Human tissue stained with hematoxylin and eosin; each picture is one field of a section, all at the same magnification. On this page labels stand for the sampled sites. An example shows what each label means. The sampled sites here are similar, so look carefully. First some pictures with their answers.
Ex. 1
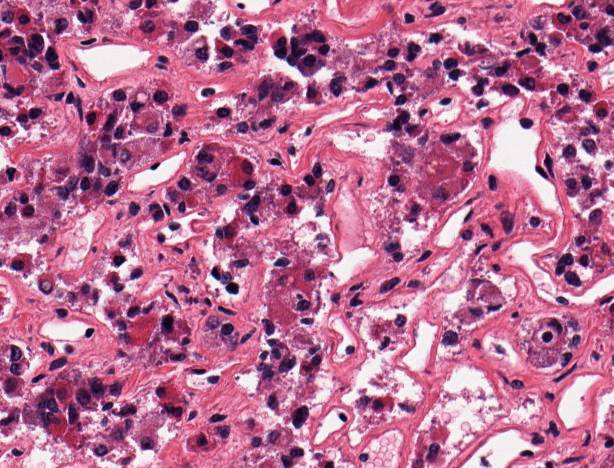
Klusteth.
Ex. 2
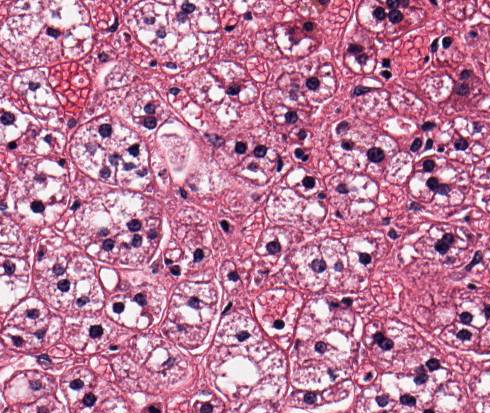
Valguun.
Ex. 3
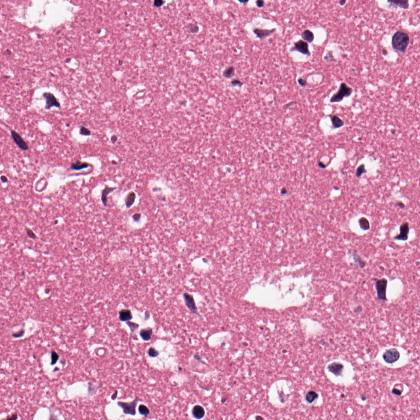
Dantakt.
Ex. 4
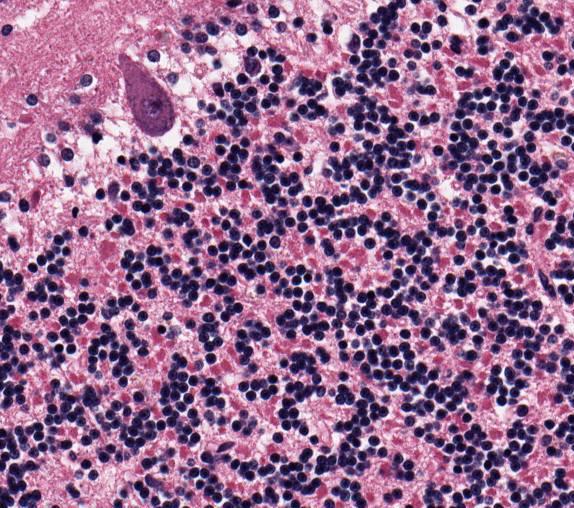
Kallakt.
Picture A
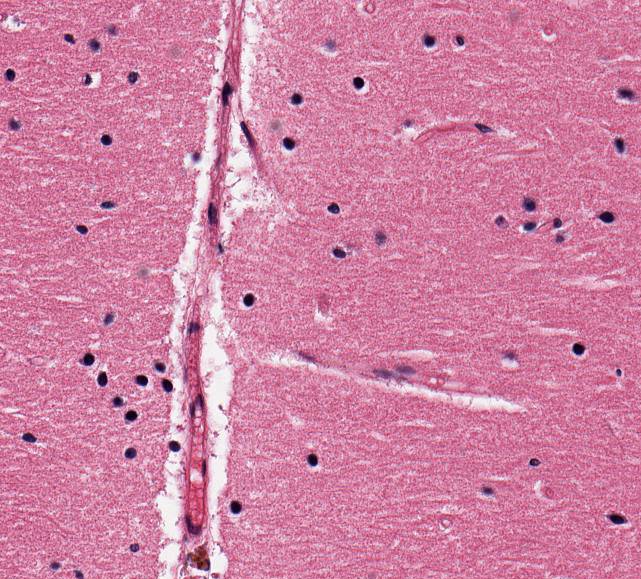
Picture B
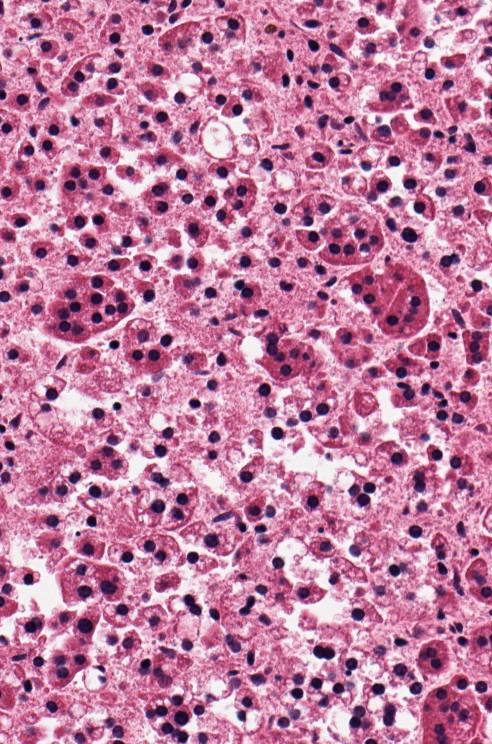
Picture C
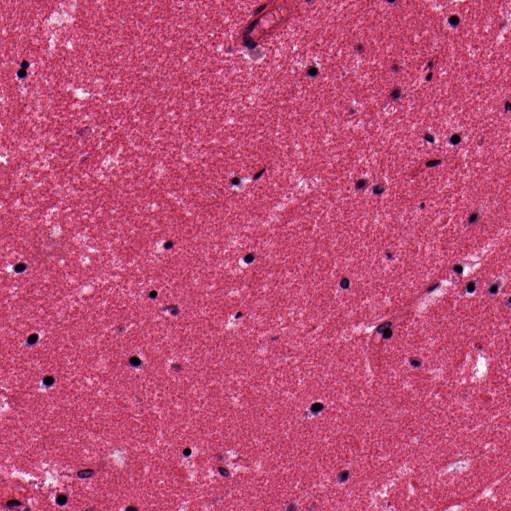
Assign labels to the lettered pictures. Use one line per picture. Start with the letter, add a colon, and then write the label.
A: Kallakt.
B: Valguun.
C: Kallakt.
